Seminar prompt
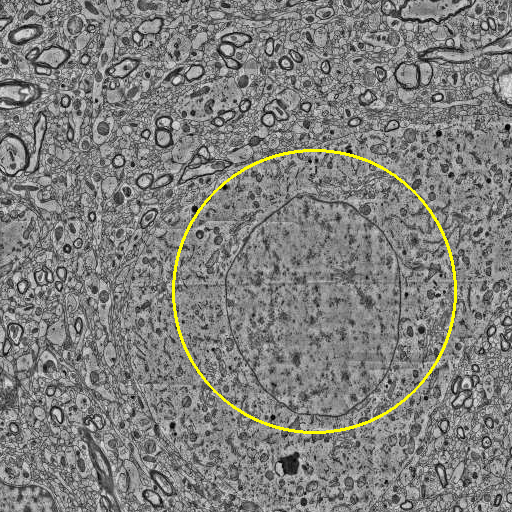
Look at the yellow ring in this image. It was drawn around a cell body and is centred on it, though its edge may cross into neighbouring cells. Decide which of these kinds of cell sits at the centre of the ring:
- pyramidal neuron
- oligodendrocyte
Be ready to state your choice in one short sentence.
The kind of cell at the ring's centre is a pyramidal neuron.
